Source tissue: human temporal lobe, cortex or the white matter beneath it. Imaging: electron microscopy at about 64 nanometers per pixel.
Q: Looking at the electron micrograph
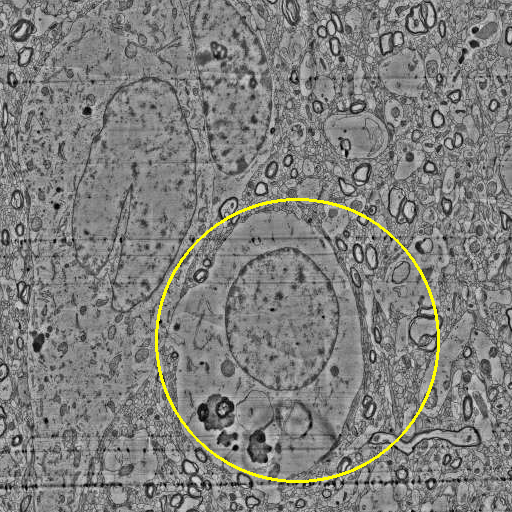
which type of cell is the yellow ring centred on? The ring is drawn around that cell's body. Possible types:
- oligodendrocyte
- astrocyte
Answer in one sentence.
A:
The yellow ring is centred on an astrocyte.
